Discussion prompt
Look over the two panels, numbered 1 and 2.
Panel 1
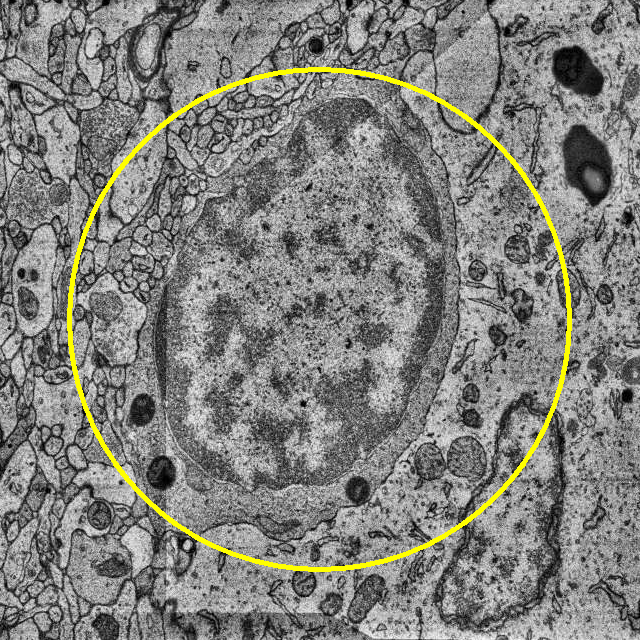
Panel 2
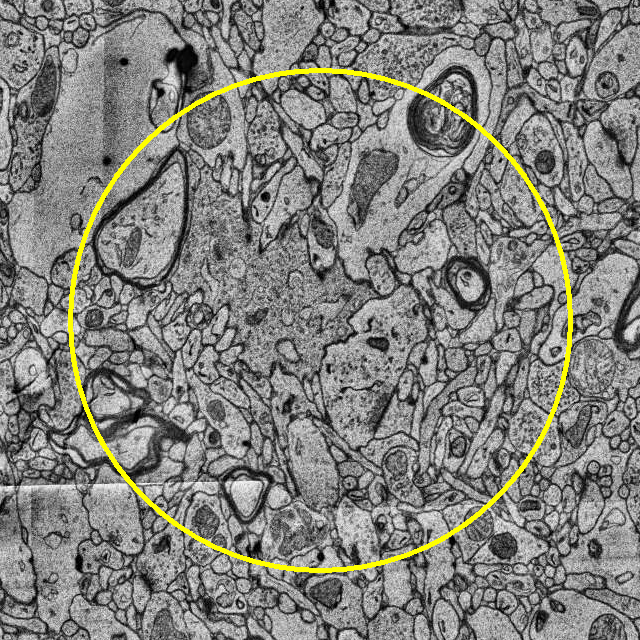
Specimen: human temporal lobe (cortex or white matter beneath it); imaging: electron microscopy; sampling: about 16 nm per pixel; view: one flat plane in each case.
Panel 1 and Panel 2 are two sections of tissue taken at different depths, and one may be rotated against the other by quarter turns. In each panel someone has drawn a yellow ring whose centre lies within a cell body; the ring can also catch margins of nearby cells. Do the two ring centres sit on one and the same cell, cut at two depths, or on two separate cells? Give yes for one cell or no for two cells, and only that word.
no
